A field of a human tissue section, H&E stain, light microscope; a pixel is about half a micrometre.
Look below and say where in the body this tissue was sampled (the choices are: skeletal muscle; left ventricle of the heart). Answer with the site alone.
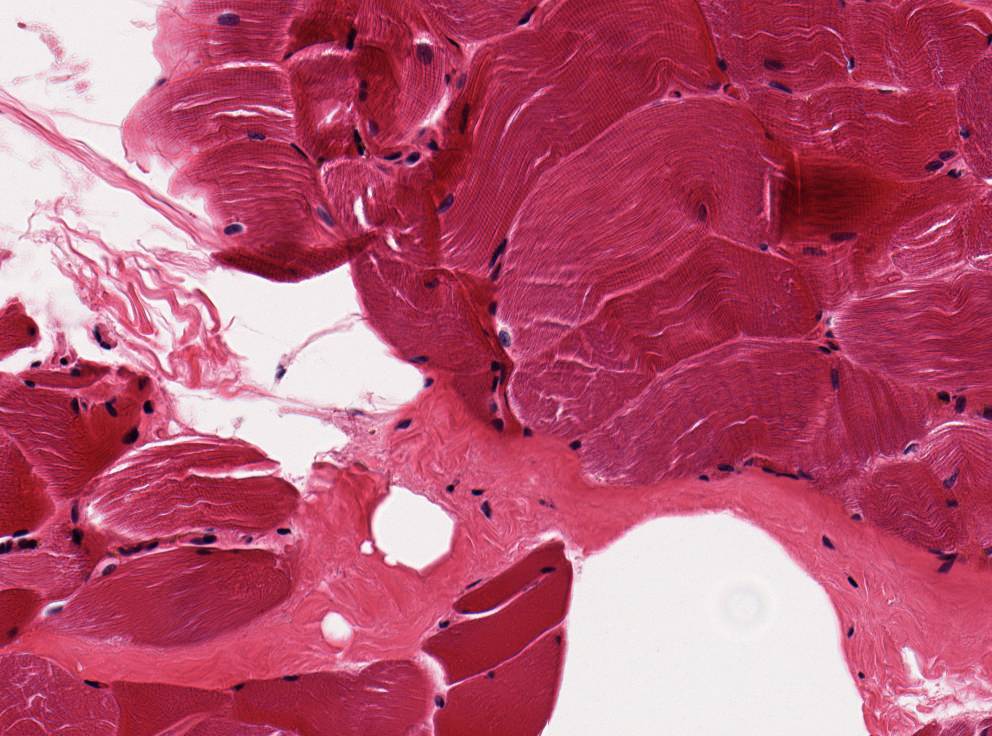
skeletal muscle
